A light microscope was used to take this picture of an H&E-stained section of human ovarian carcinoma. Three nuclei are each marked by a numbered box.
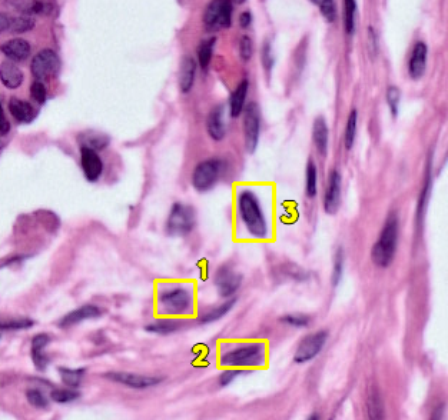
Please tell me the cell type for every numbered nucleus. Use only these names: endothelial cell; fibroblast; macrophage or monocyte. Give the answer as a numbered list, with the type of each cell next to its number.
1. fibroblast
2. fibroblast
3. macrophage or monocyte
